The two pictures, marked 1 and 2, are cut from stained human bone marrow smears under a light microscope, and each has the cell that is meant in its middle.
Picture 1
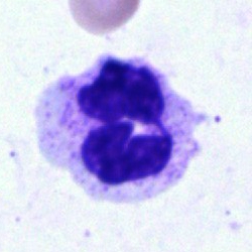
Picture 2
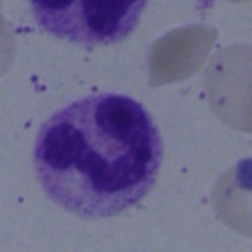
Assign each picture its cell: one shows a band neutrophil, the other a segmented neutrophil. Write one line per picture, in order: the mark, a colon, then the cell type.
1: segmented neutrophil
2: band neutrophil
